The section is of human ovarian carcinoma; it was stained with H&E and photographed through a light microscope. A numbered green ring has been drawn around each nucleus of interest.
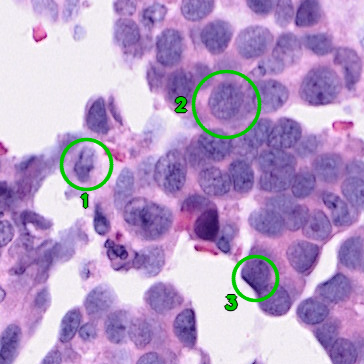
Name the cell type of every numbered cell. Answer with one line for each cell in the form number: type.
1: macrophage or monocyte
2: carcinoma cell
3: carcinoma cell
